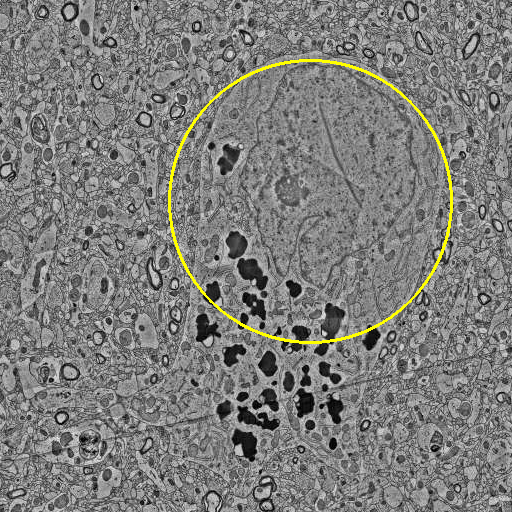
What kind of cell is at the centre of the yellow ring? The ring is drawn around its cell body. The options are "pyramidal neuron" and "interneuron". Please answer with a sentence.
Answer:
The yellow ring marks the cell body of an interneuron.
